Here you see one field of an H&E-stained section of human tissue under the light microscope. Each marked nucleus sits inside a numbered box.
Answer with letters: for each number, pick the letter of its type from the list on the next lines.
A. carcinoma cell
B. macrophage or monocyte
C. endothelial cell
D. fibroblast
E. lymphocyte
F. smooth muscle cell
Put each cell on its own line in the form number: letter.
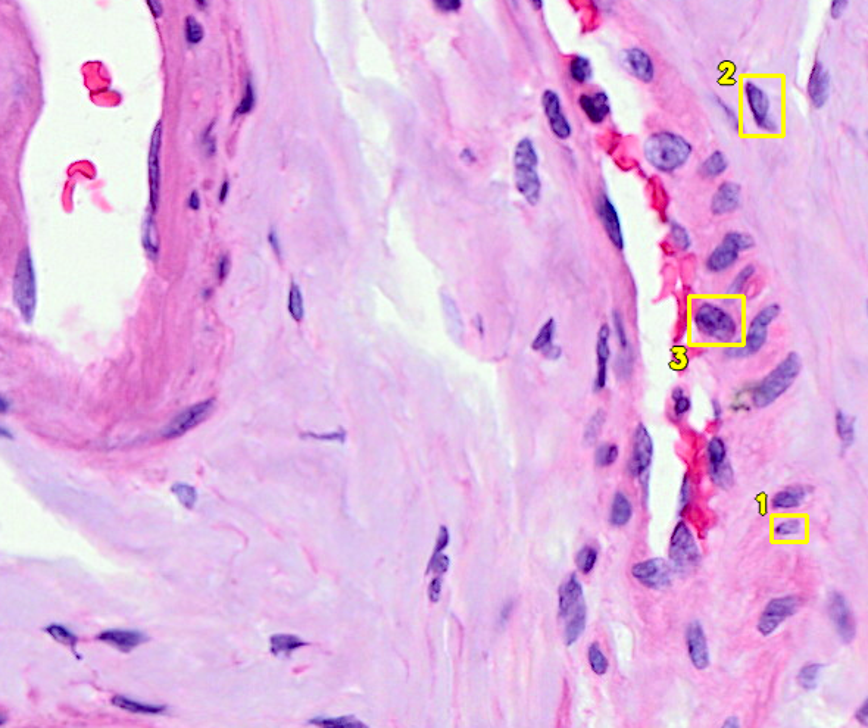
1: F
2: D
3: C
